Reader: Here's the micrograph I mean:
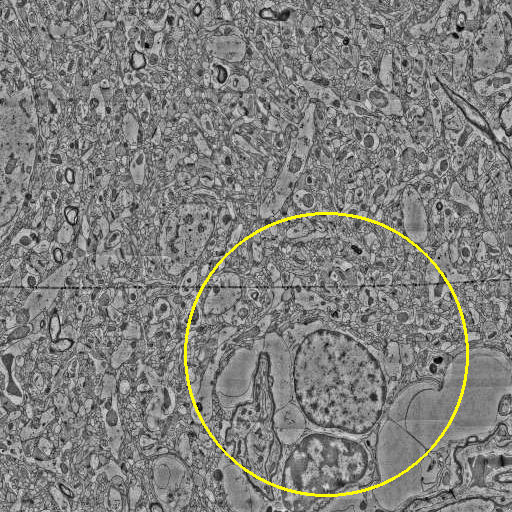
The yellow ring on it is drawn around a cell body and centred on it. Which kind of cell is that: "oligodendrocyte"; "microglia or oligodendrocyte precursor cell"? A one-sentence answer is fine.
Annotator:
The ring is centred on a microglial cell or oligodendrocyte precursor cell.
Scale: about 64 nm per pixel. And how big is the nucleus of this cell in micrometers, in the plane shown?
The nucleus has a long axis of about 7 micrometres and a short axis of about 6 micrometres in this plane.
